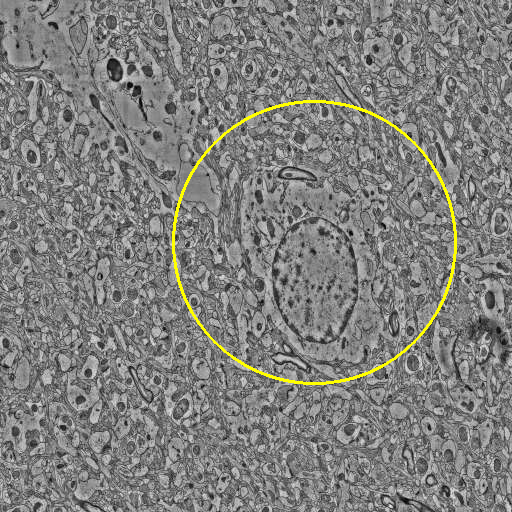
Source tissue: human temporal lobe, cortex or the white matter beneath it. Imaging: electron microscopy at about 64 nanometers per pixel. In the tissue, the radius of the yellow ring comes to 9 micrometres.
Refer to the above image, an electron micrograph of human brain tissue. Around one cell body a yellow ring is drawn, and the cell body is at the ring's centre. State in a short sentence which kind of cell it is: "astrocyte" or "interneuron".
The centre of the ring falls on an astrocyte.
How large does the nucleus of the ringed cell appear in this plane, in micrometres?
The nucleus is about 8 micrometres in length and 5 in width, clearly longer than it is wide in this plane.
